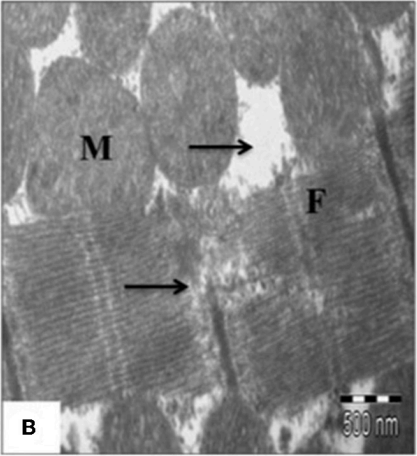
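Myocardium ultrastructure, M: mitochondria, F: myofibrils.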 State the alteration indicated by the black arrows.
myofibrillar damage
